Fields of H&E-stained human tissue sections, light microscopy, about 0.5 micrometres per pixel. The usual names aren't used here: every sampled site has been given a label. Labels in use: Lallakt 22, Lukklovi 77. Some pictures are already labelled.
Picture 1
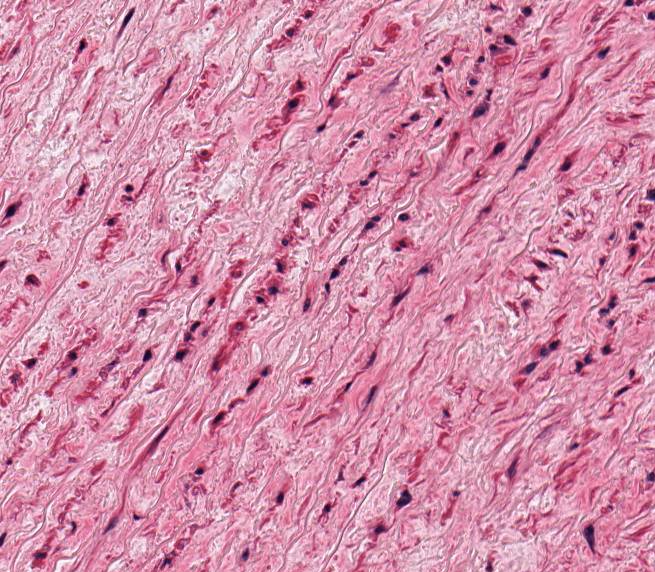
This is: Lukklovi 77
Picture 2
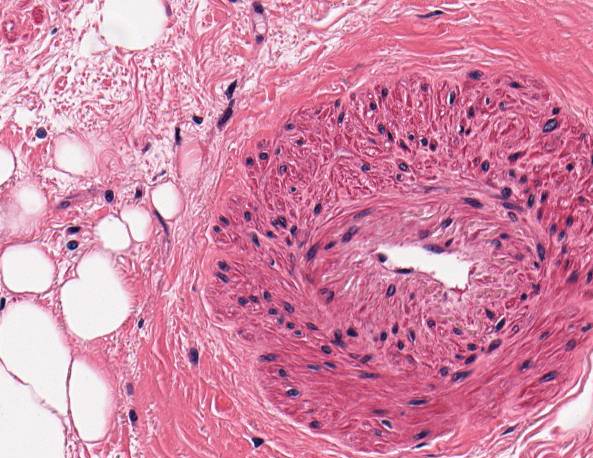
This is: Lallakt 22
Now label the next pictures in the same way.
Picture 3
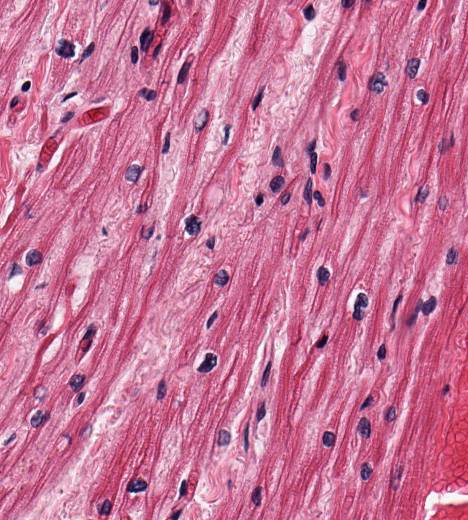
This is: Lallakt 22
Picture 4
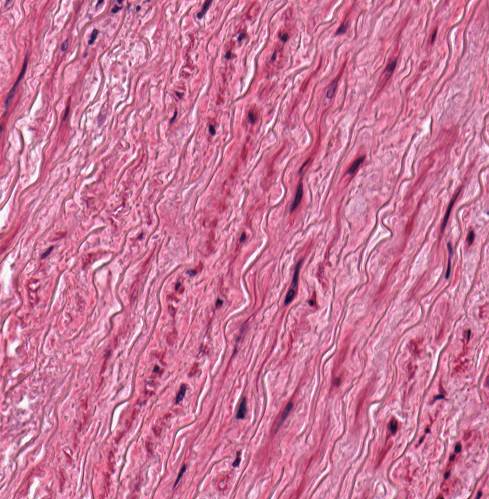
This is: Lukklovi 77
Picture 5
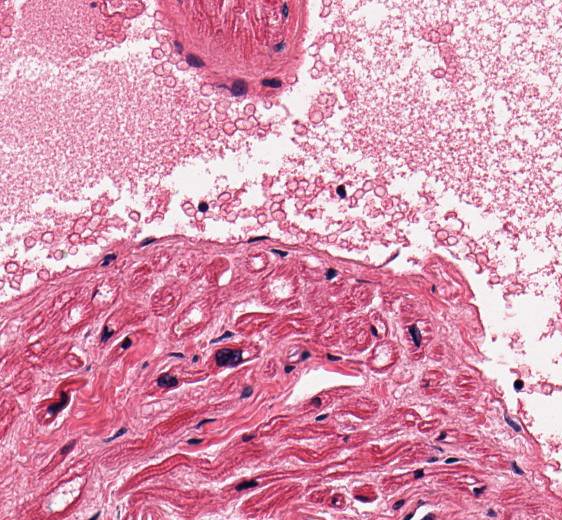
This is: Lallakt 22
